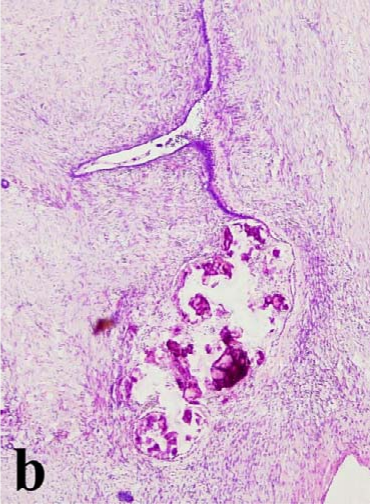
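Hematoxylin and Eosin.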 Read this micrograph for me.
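This section shows pale, fibrous stroma with streaming, spindle-shaped cells making up most of the field. A narrow slit-like space runs through the upper part, edged by a thin, darker purple line. Below it, a rounded space in the stroma contains clumps of intensely dark purple, irregular deposits. Some of these deposits are large and appear cracked, while others are smaller fragments scattered inside the same space. The surrounding stroma is denser and slightly darker around the rim of this rounded space.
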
